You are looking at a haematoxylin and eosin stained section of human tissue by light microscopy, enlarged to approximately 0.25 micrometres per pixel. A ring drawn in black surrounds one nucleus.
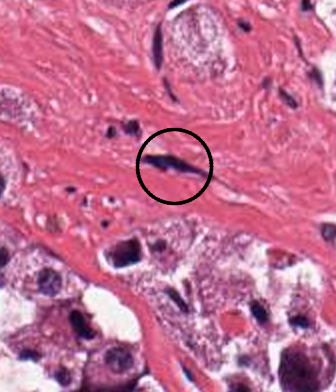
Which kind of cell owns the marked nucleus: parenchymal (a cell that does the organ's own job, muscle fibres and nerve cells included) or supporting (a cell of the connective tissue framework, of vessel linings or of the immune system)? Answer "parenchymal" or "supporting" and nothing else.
supporting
